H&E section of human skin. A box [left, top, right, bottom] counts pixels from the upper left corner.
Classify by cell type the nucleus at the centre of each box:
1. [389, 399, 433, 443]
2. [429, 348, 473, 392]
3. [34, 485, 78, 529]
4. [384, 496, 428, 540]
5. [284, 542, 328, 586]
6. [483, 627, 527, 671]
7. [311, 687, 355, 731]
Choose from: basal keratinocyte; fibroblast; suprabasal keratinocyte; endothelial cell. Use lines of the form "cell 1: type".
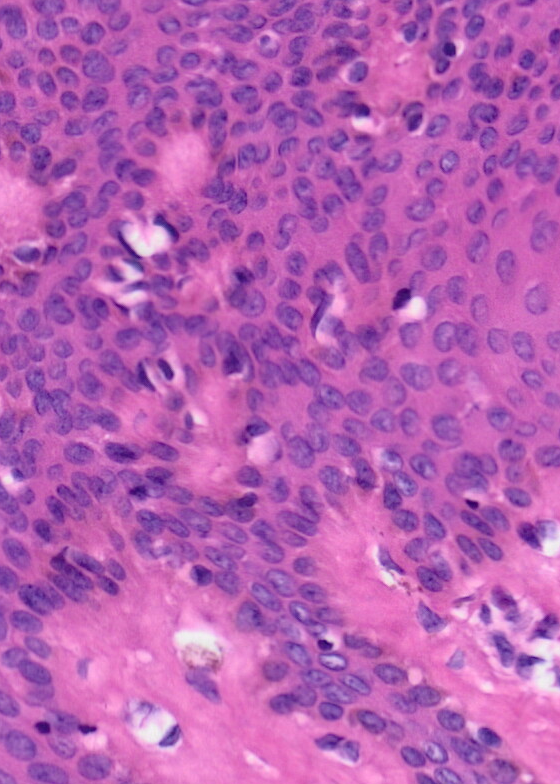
cell 1: suprabasal keratinocyte
cell 2: suprabasal keratinocyte
cell 3: basal keratinocyte
cell 4: basal keratinocyte
cell 5: basal keratinocyte
cell 6: endothelial cell
cell 7: basal keratinocyte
